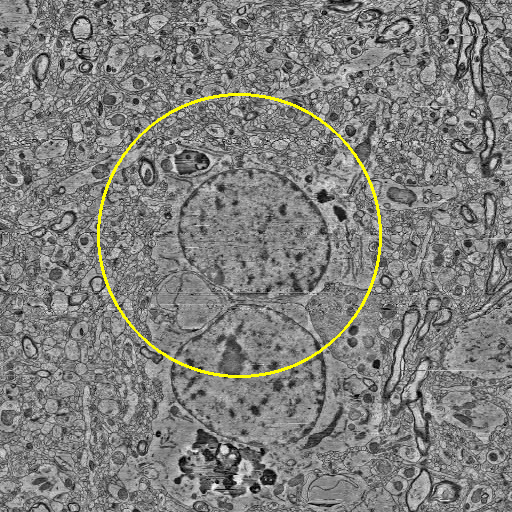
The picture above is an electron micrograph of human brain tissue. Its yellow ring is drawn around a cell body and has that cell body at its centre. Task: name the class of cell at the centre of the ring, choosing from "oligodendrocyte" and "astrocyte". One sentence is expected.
The ring surrounds the body of an astrocyte.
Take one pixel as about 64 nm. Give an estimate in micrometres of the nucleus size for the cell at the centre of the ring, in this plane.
In this plane, roughly 10 by 8 micrometres.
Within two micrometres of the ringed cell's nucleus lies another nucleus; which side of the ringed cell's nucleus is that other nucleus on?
The second nucleus is below it.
